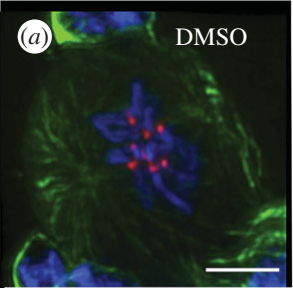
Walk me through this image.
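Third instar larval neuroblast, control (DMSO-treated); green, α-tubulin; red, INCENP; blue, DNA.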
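On the chromosomes sit small, bright red dots, mostly in pairs, one pair per chromosome, giving a tidy punctate pattern. Fine green microtubule fibres fill much of the cytoplasm and radiate toward the chromosome cluster, forming a spindle-like array, and brighter green lines mark the edges of the neighbouring cells. Parts of adjacent cells with blue nuclei are visible at the corners.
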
